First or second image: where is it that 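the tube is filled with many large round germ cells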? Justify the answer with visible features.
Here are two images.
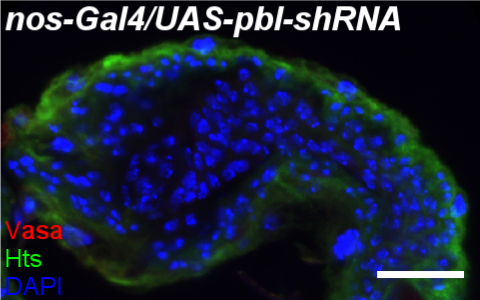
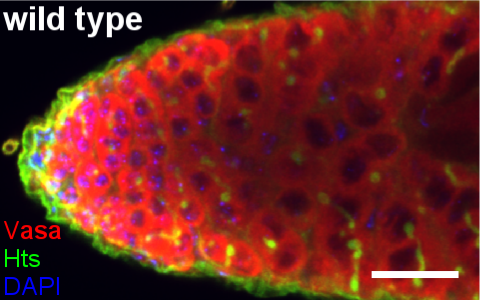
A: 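The second image. First image: no red cells; only scattered small blue nuclei inside a green-lined tube. Second image: the tube is packed with large red cells with dark round nuclei.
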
